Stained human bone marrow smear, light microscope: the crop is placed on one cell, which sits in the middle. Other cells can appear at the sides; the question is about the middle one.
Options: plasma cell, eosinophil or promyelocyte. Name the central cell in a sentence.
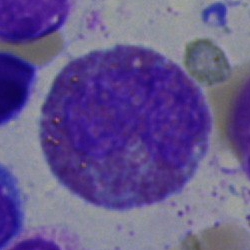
The cell of interest, located centrally, is an eosinophil.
